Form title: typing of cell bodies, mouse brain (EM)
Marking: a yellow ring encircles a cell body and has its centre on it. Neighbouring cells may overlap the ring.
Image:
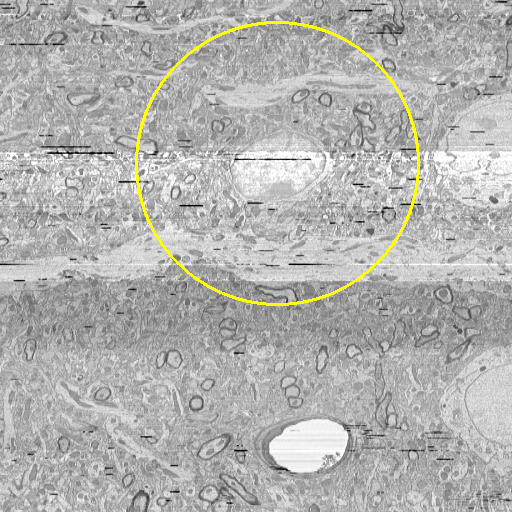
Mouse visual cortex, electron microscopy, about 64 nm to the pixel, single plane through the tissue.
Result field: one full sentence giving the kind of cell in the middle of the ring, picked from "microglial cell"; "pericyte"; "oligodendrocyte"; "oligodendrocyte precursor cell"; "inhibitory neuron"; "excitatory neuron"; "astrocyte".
In the picture, the ring is centred on an oligodendrocyte, whose cell body it encircles.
